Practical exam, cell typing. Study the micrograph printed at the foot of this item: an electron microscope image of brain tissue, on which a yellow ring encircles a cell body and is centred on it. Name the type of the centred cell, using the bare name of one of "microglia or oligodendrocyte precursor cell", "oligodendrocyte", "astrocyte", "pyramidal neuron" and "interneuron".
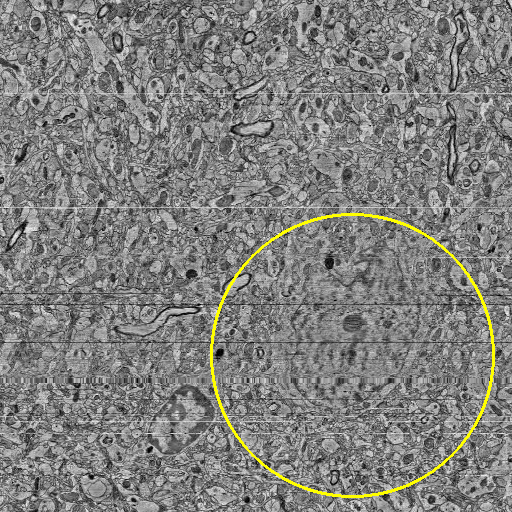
interneuron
